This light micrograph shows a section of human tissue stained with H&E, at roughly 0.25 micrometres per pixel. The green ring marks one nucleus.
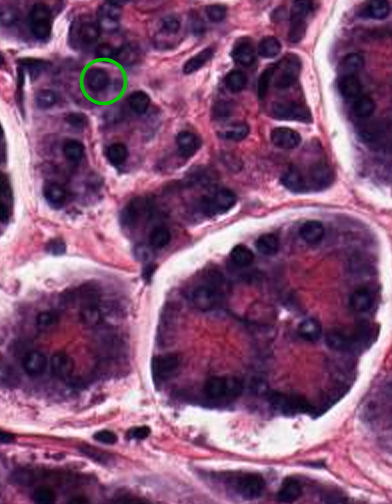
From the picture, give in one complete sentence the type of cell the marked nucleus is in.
Within a pancreatic acinar cell lies the marked nucleus.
